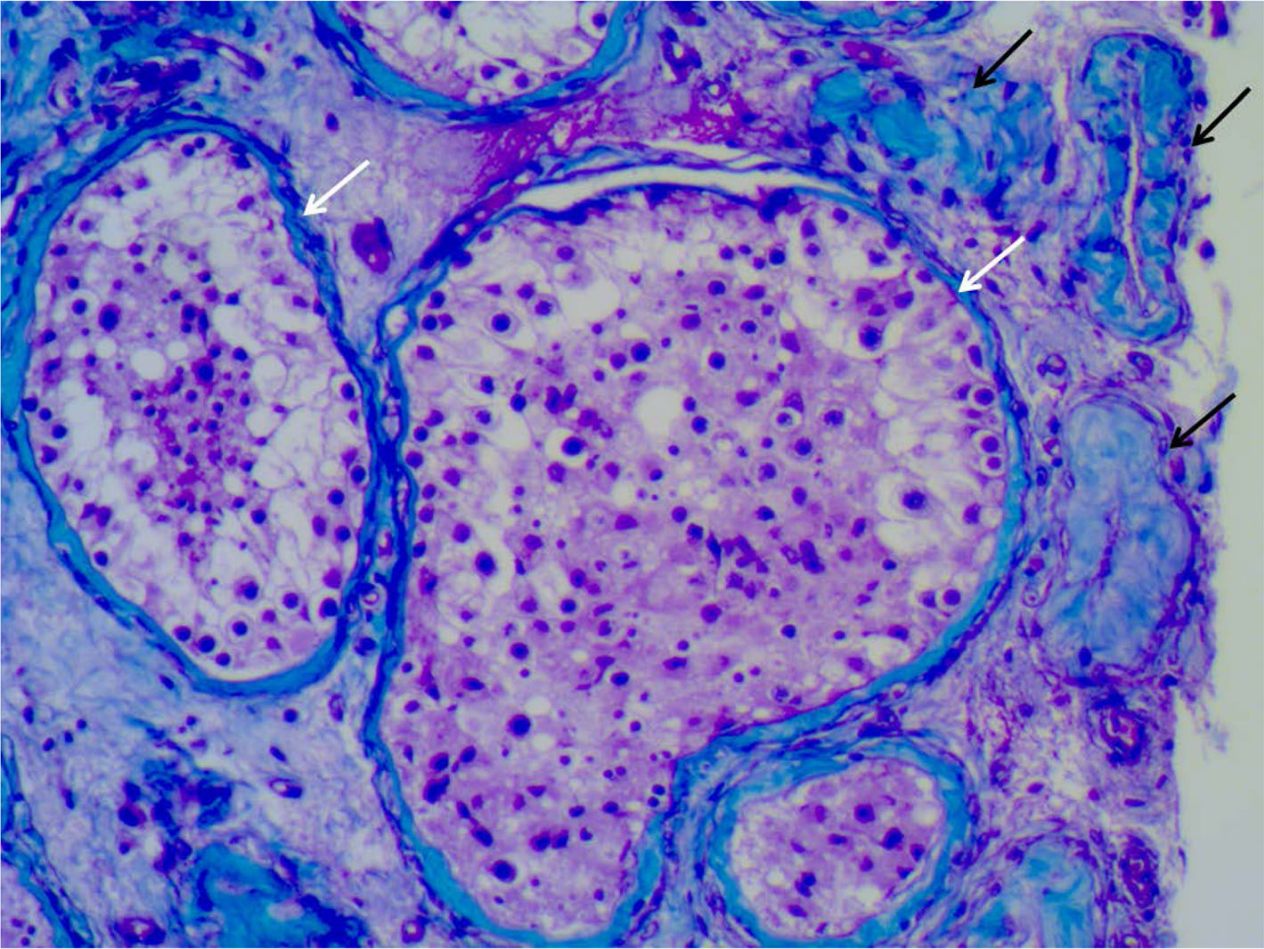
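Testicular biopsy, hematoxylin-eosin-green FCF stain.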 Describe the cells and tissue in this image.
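The larger tubules still contain many germ cells with round, dark purple nuclei set in pale pink cytoplasm. The epithelium in these tubules is disorganised and vacuolated, with many clear spaces. Loose interstitial tissue with scattered nuclei and small vessels lies between the tubules.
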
